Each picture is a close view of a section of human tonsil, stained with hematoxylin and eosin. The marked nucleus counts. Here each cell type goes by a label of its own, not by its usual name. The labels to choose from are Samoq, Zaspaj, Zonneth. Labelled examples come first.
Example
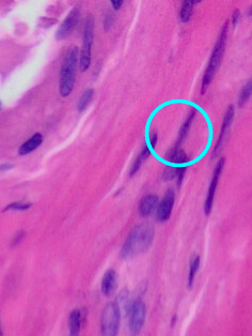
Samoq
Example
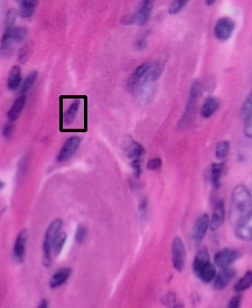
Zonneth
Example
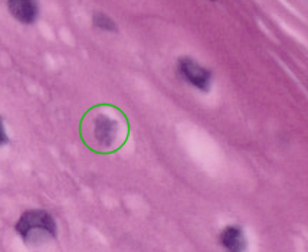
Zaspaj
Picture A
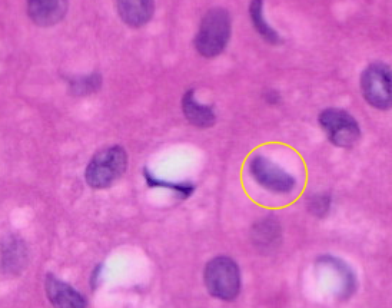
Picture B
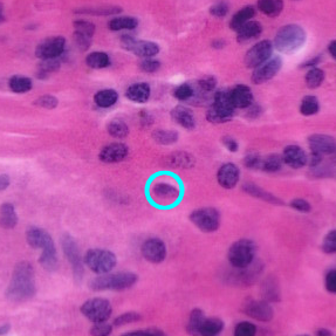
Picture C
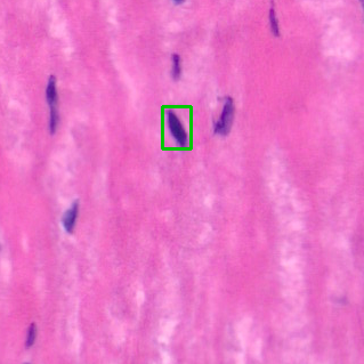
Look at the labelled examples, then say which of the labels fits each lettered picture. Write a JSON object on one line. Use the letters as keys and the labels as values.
{"A": "Zaspaj", "B": "Zonneth", "C": "Zonneth"}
